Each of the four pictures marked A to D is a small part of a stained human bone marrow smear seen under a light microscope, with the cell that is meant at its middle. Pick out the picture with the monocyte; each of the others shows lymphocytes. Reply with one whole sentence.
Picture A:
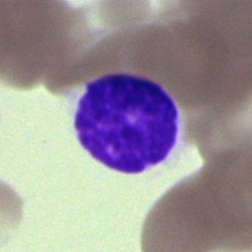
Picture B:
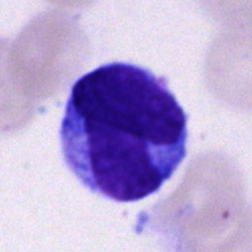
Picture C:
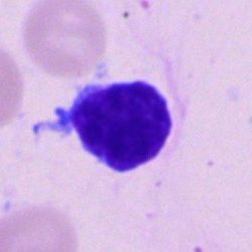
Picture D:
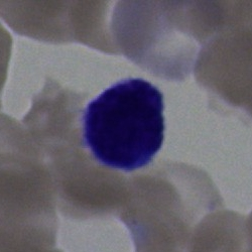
The cell in picture B is the monocyte.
